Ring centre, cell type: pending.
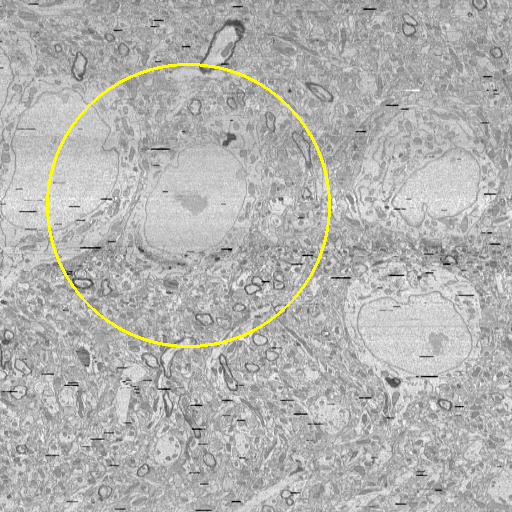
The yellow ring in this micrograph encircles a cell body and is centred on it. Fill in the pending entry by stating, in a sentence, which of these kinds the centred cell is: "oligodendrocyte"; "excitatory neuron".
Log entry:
The centred cell is recorded as an excitatory neuron.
